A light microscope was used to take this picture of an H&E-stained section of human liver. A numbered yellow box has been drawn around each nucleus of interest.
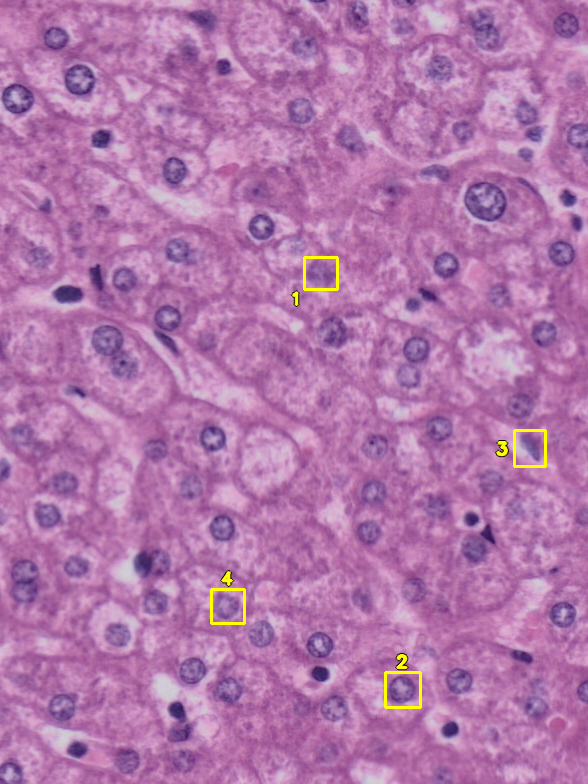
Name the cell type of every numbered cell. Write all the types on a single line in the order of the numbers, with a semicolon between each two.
hepatocyte; hepatocyte; endothelial cell; hepatocyte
